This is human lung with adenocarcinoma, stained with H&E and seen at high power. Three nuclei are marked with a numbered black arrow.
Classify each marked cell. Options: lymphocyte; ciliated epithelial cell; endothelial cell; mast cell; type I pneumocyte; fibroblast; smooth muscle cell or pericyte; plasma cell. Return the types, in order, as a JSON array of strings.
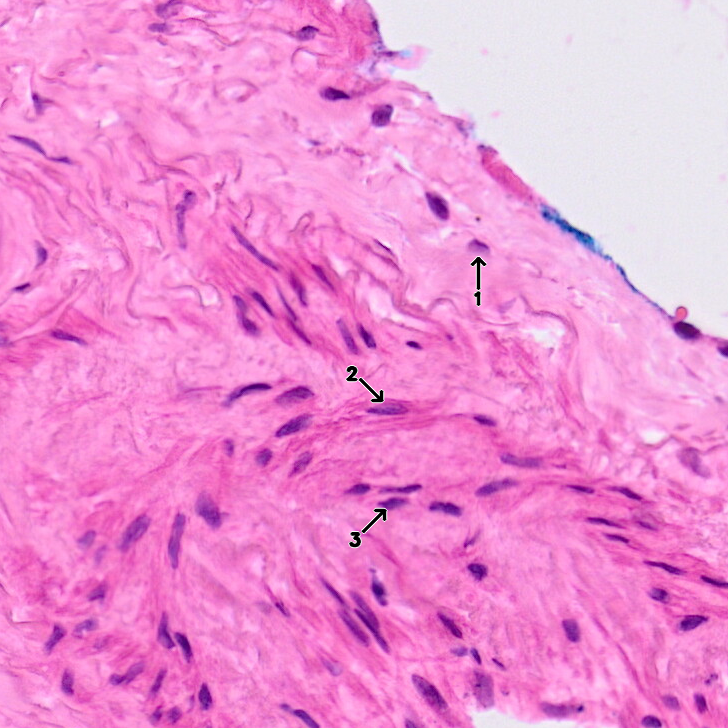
["fibroblast", "smooth muscle cell or pericyte", "smooth muscle cell or pericyte"]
